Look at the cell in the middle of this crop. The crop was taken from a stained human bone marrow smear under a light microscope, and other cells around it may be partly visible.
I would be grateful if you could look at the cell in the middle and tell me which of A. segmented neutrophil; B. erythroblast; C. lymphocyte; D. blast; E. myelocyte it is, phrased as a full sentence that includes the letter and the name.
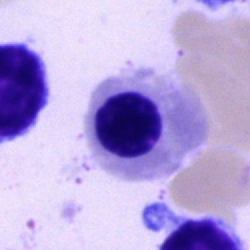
The central cell in this crop is an erythroblast, corresponding to option B, the correct option.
